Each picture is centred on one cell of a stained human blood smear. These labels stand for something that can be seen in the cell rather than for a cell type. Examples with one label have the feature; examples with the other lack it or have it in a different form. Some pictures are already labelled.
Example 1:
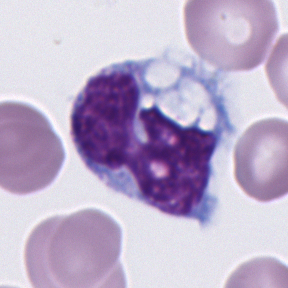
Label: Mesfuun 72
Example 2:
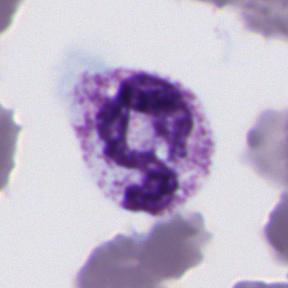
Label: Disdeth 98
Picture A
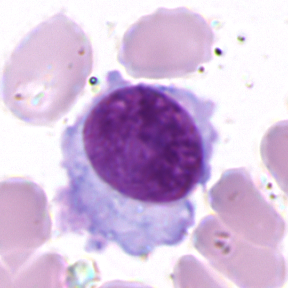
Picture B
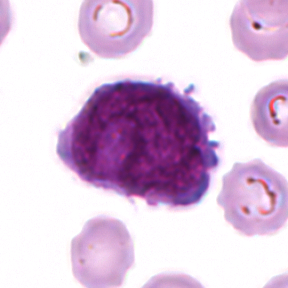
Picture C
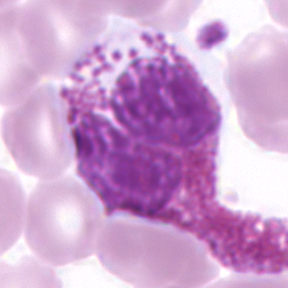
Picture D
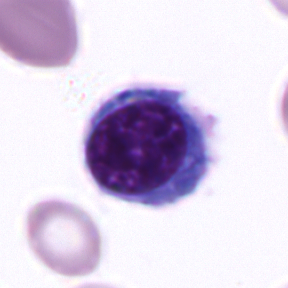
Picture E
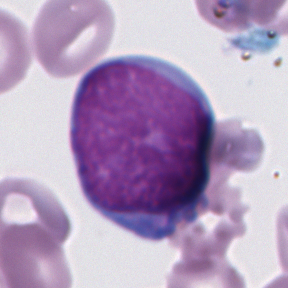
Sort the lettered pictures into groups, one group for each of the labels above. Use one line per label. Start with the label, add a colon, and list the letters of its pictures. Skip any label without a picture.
Mesfuun 72: A, B, C, D
Disdeth 98: E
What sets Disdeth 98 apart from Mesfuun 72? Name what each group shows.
In Disdeth 98: smooth outline. In Mesfuun 72: ragged outline or projections.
